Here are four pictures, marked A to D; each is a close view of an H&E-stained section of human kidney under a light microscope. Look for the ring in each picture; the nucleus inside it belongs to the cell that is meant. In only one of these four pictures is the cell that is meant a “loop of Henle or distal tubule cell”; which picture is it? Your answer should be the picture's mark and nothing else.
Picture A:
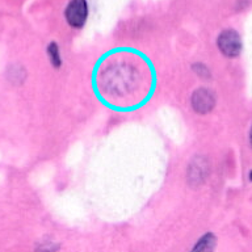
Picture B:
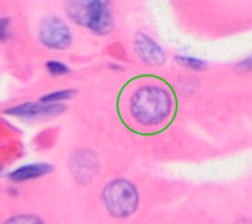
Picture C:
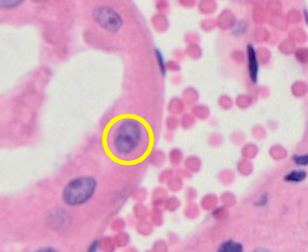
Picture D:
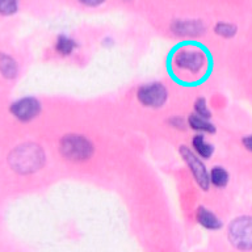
D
